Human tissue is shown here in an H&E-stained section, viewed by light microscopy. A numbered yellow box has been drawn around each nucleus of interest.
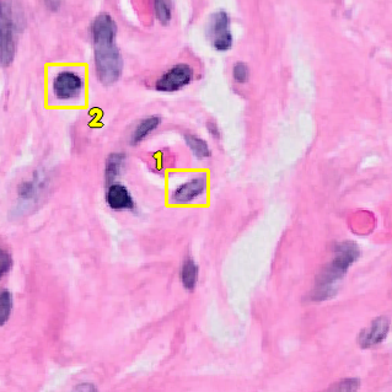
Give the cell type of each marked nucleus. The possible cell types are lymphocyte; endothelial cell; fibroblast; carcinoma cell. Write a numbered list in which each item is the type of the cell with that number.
1. endothelial cell
2. lymphocyte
